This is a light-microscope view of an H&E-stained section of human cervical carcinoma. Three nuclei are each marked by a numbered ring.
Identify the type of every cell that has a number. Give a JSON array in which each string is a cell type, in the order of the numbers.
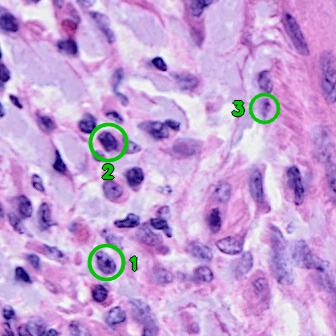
["lymphocyte", "lymphocyte", "fibroblast"]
